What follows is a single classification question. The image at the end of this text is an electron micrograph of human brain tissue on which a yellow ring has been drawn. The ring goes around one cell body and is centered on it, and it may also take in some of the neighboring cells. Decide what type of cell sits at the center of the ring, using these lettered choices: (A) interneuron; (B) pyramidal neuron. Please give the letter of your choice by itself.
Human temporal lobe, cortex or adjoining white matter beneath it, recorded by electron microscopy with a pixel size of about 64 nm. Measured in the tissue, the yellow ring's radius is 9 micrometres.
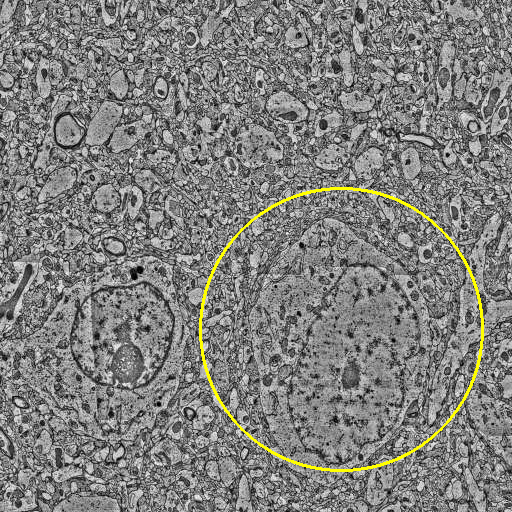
A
